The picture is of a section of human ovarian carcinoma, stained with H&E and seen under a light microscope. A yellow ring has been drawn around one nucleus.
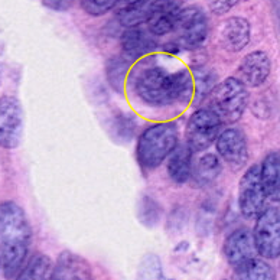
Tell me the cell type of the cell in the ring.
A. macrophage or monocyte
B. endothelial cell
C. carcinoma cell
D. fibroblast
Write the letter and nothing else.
C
